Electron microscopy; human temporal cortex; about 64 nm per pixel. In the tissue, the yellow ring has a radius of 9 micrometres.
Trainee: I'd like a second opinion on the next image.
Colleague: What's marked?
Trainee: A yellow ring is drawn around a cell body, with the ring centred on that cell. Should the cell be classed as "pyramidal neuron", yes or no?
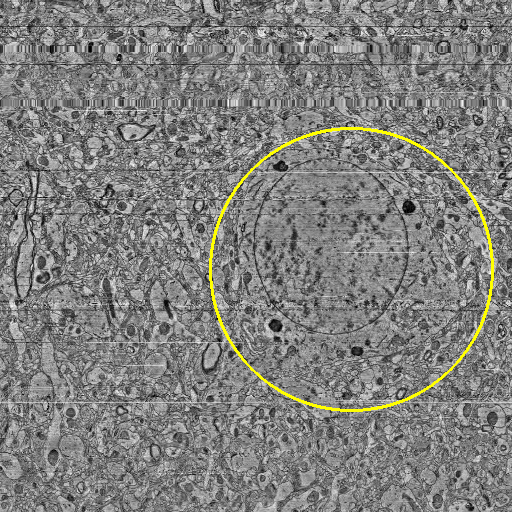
Yes, it should.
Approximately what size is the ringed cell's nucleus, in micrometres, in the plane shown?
The ringed cell's nucleus is about 12 micrometres long and 10 micrometres wide in this plane.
